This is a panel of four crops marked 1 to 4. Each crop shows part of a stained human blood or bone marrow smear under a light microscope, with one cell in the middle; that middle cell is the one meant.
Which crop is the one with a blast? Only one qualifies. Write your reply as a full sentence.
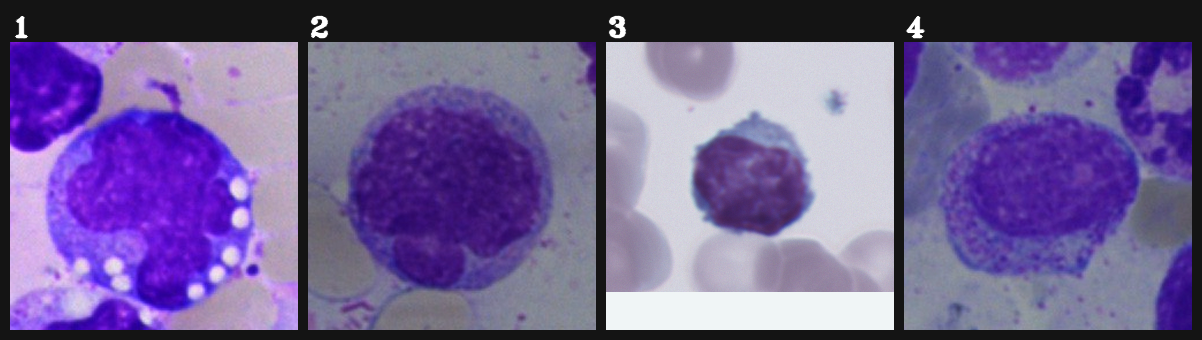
Crop 2 is the crop that shows a blast in its middle.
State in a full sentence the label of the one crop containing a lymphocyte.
It is the cell in crop 3 that is a lymphocyte.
